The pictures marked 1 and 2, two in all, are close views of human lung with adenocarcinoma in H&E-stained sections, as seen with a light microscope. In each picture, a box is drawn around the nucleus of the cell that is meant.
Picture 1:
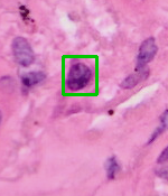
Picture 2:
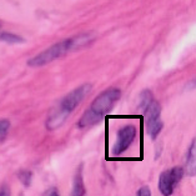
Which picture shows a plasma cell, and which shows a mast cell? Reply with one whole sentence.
Picture 1 is of a plasma cell, and picture 2 is of a mast cell.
